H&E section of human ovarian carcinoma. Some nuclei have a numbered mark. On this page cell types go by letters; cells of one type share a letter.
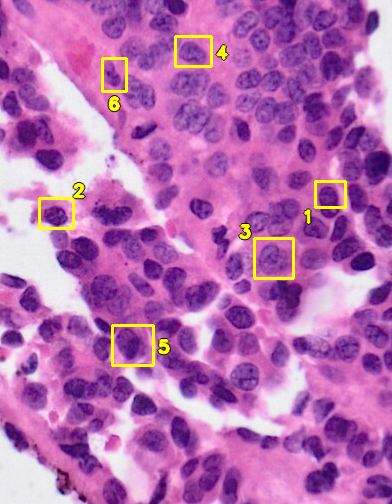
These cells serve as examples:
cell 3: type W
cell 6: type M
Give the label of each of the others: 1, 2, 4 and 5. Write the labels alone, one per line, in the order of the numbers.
type W
type M
type W
type W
